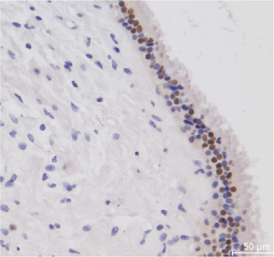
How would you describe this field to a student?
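A thin columnar epithelium lines a curved surface and rests on loose connective tissue with scattered small blue nuclei. The epithelial cells are closely packed in a narrow band with a pale surface border.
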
